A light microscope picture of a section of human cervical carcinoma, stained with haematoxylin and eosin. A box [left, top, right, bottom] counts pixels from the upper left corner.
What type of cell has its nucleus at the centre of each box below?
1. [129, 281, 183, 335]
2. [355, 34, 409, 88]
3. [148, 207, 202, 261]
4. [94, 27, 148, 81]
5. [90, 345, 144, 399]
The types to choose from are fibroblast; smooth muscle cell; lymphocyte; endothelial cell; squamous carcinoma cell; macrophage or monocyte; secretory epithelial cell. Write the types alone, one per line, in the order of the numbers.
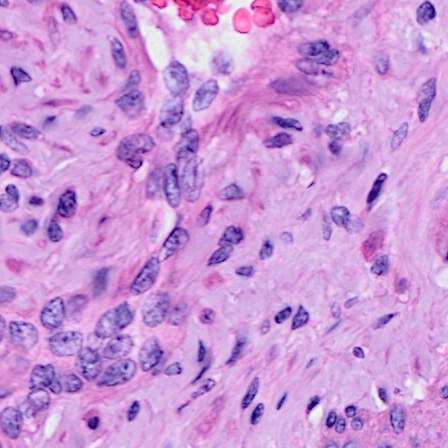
endothelial cell
smooth muscle cell
endothelial cell
smooth muscle cell
endothelial cell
